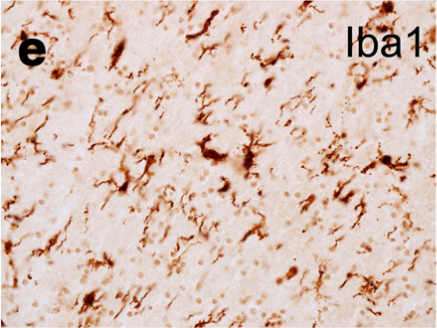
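The cells are spread fairly evenly through the field without clustering. Between them lie many small, pale, unstained nuclei of other cells.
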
